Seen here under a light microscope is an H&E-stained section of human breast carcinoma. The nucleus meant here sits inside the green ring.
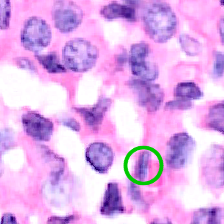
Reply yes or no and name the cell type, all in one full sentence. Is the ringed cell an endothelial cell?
Yes, where cell type is concerned, the ringed cell is an endothelial cell.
